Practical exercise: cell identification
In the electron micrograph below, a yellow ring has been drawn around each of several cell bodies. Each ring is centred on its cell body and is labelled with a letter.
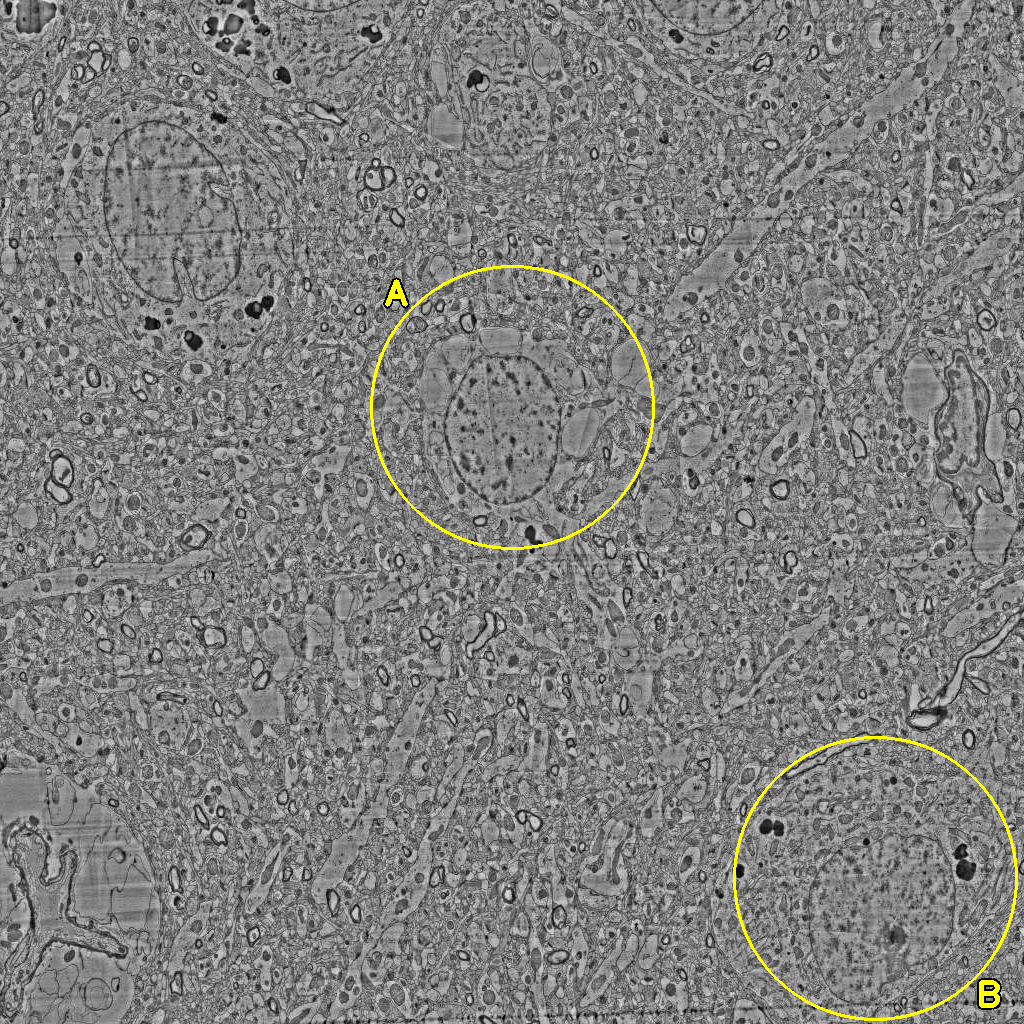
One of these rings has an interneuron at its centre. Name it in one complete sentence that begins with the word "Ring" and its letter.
Ring B has that cell at its centre.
